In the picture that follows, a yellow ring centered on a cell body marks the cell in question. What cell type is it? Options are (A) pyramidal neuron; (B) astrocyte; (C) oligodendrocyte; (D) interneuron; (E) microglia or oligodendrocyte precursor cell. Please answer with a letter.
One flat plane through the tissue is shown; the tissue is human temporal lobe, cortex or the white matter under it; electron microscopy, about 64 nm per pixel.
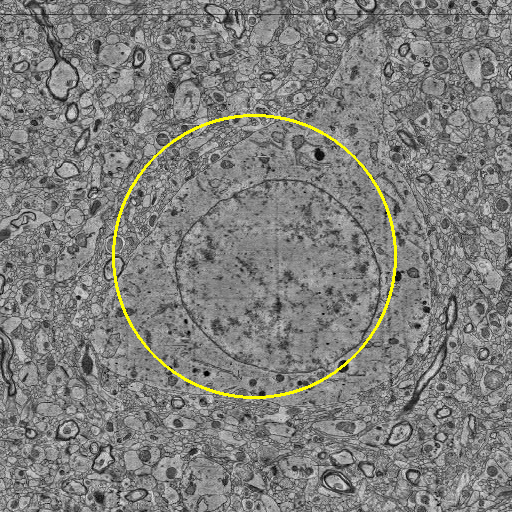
A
